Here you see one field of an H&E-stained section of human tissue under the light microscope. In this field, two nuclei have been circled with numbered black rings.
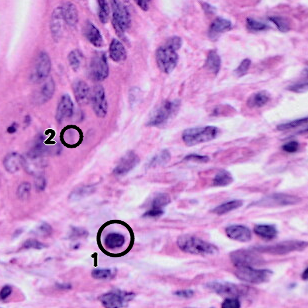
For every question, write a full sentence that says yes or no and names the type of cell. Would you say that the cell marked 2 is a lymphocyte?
No, the cell given number 2 is a squamous carcinoma cell, not a lymphocyte.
